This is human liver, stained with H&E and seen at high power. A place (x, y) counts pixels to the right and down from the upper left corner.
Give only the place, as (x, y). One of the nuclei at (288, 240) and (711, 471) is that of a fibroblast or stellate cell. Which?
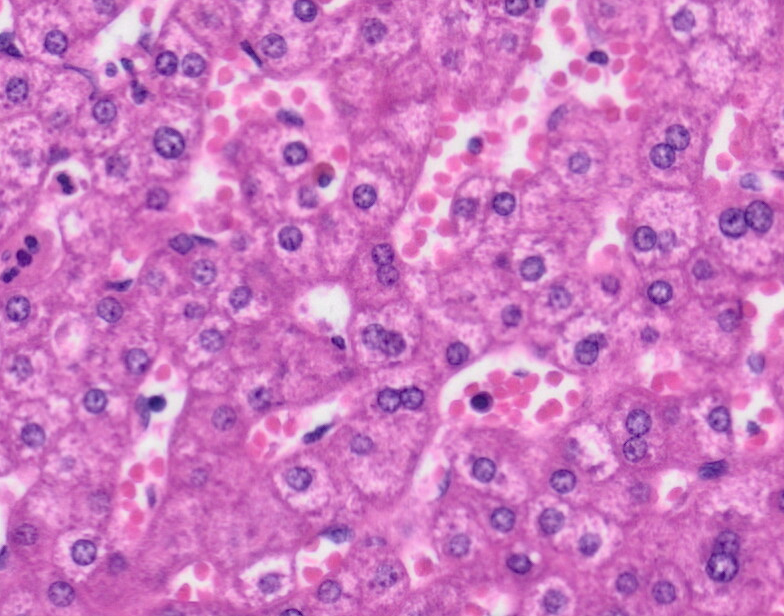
(711, 471)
